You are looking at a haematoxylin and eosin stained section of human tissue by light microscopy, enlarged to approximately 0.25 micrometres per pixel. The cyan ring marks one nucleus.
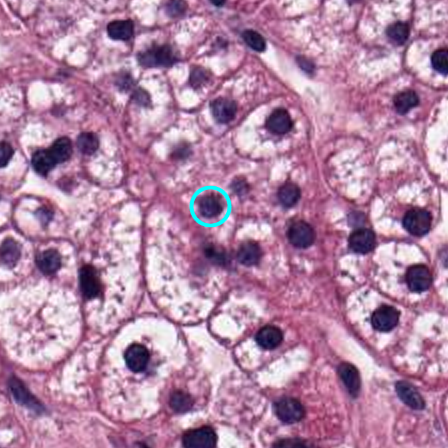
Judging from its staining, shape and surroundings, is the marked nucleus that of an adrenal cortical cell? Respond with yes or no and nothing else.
yes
